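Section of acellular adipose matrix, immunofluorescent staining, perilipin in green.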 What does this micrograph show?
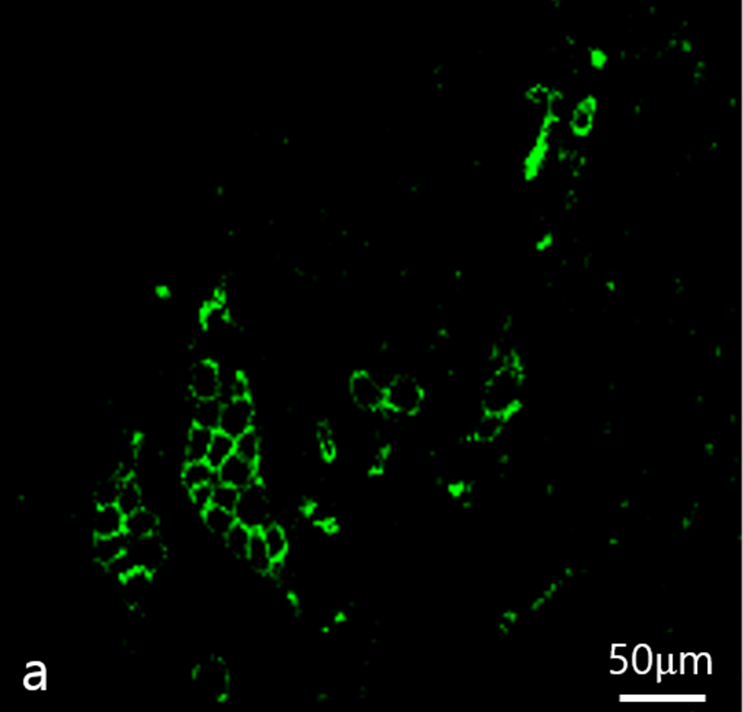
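Here small fat cells are packed closely together in clusters, their green rims pressed into polygonal shapes like a honeycomb. Each cell has a dark interior with green only at its border, and the rims look somewhat beaded and uneven. Around the clusters lie scattered bright green specks and short streaks on a dark background.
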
